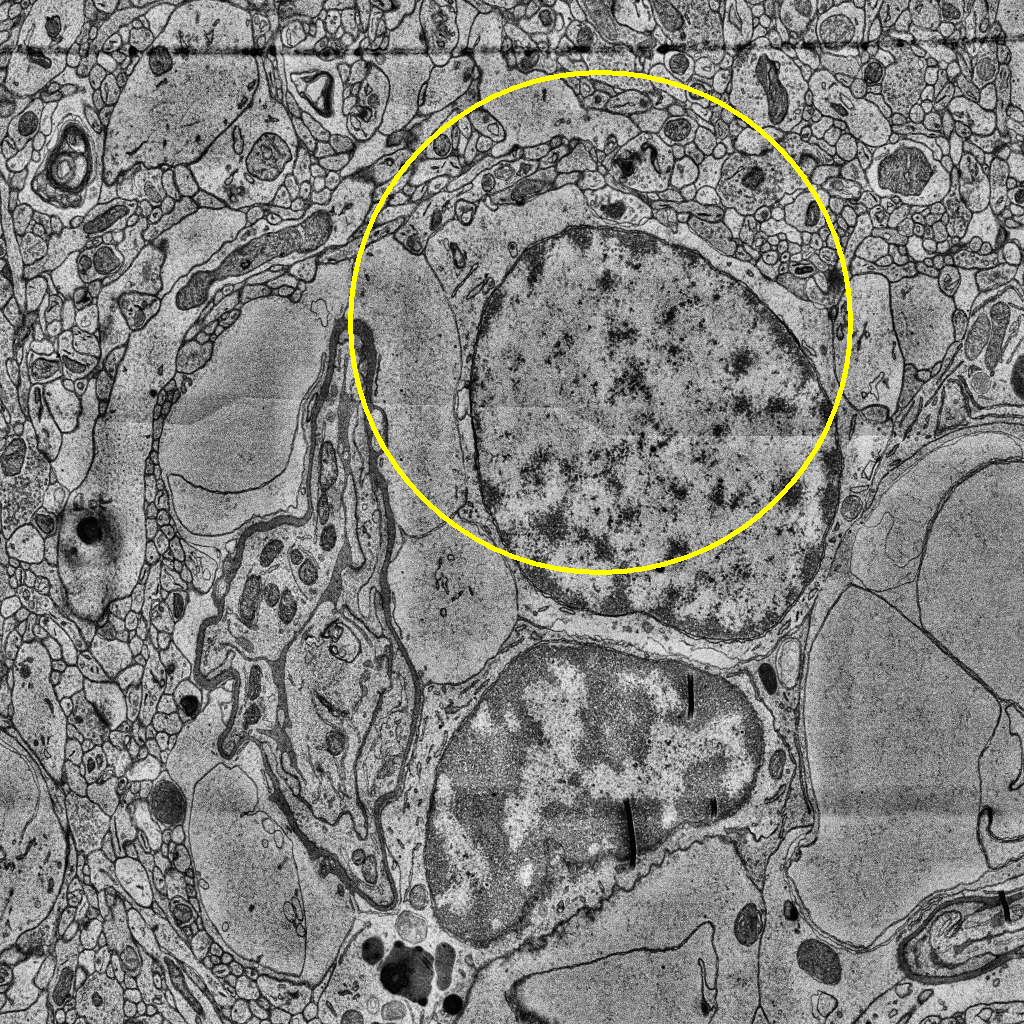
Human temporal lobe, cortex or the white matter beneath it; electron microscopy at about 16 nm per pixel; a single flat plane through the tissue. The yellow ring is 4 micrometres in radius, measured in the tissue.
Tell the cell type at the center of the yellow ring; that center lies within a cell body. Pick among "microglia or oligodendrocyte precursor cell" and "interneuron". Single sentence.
The ring's center lies in the body of a microglial cell or oligodendrocyte precursor cell.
